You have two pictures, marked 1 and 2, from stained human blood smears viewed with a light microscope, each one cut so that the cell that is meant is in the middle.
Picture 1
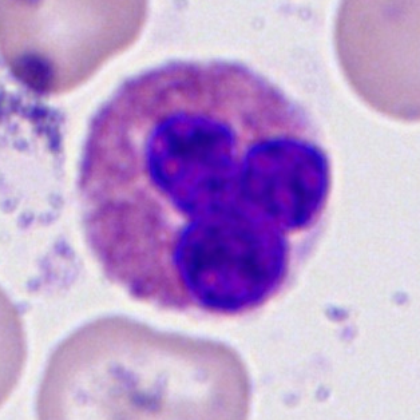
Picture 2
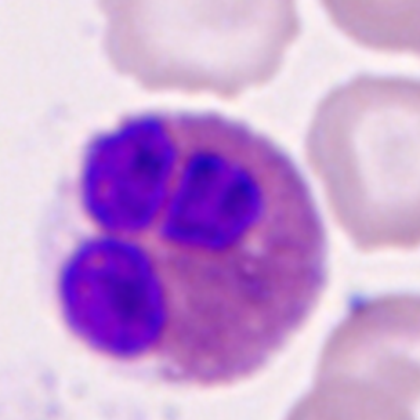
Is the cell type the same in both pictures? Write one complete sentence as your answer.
Yes, the two pictures both show eosinophils.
